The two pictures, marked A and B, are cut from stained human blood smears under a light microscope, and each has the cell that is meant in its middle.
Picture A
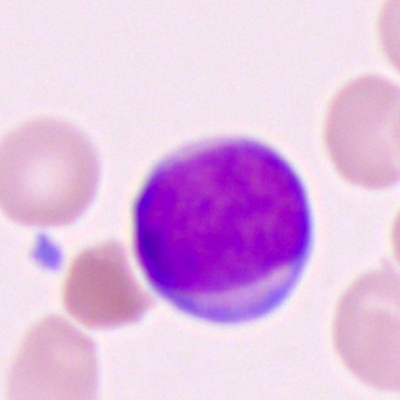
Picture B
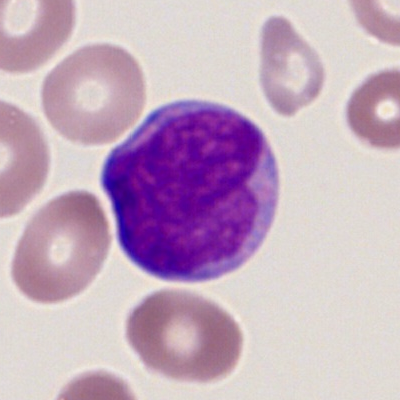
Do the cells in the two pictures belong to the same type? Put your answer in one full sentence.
Yes, both cells are myeloblasts.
